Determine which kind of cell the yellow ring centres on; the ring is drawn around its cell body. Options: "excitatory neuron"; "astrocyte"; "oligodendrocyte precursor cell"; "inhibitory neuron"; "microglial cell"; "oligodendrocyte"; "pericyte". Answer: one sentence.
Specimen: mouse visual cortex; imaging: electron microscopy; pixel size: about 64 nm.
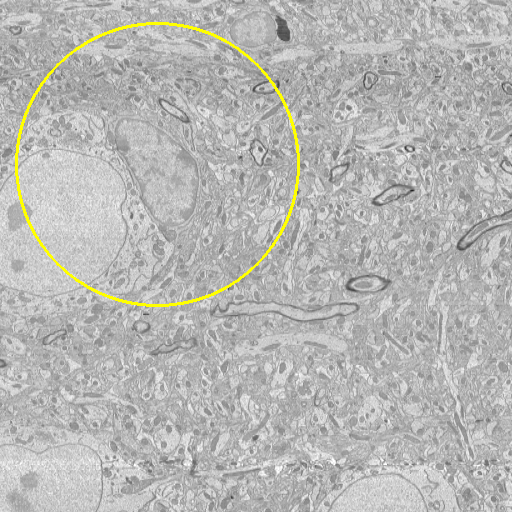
The ring centres on an oligodendrocyte.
